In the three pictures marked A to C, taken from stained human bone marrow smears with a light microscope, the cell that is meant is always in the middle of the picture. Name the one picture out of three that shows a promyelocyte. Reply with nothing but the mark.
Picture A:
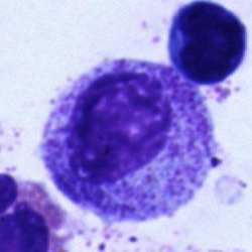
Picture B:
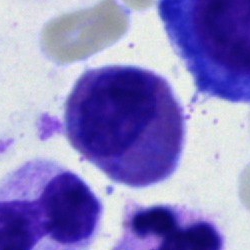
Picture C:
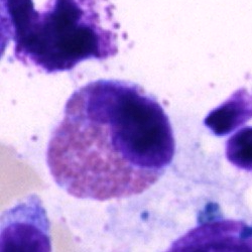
A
